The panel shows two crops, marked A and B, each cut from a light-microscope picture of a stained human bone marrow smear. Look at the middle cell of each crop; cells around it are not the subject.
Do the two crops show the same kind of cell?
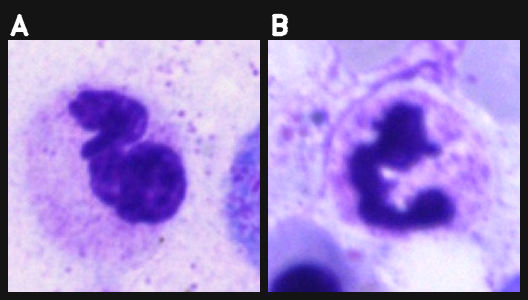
yes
